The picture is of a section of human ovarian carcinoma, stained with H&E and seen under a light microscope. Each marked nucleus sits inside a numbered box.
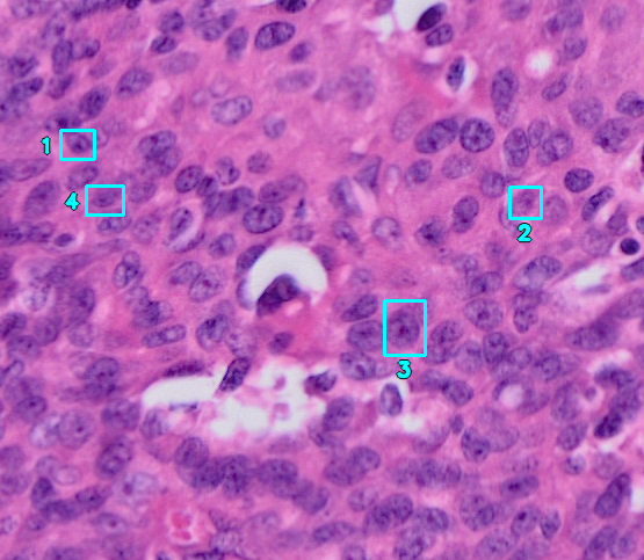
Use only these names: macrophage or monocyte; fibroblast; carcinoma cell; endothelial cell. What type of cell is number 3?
carcinoma cell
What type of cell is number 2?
carcinoma cell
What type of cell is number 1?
macrophage or monocyte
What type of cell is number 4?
carcinoma cell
